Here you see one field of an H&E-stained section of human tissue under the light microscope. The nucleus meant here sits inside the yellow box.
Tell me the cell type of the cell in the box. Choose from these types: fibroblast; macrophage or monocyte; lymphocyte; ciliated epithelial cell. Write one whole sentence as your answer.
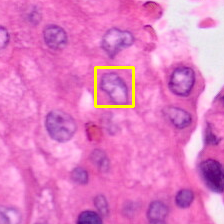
Labelled by cell type, the cell in the box is a macrophage or monocyte.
